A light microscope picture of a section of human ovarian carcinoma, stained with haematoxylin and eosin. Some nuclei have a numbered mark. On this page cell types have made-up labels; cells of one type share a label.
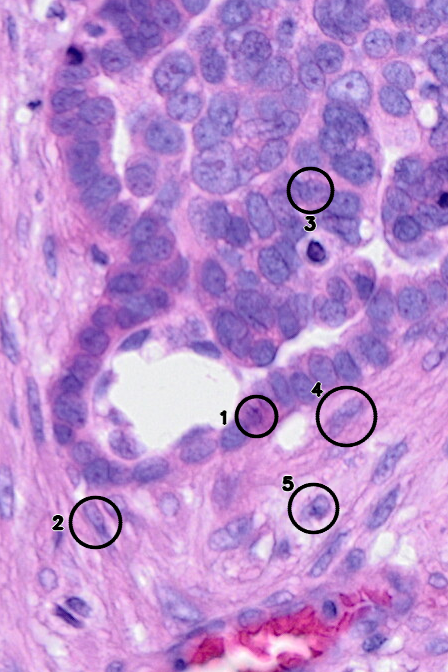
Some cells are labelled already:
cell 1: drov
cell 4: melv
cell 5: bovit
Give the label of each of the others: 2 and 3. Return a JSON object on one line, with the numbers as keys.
{"2": "melv", "3": "drov"}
